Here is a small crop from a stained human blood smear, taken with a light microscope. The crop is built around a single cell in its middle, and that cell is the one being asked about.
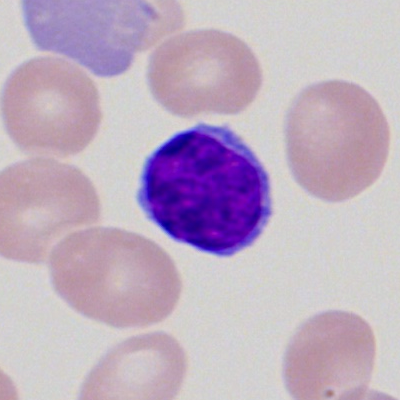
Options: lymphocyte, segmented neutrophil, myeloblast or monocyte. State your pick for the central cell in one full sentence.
In the central position of this crop, the cell is a lymphocyte.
